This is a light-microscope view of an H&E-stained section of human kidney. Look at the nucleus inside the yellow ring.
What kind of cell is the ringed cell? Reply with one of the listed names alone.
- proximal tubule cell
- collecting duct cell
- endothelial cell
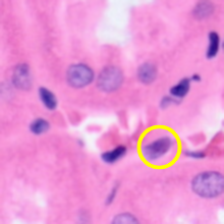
endothelial cell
